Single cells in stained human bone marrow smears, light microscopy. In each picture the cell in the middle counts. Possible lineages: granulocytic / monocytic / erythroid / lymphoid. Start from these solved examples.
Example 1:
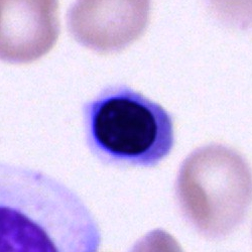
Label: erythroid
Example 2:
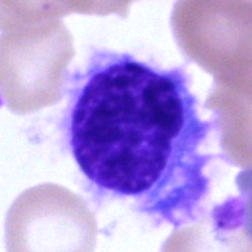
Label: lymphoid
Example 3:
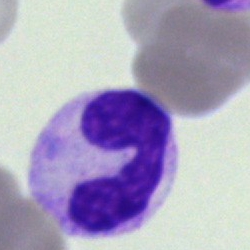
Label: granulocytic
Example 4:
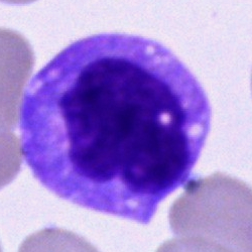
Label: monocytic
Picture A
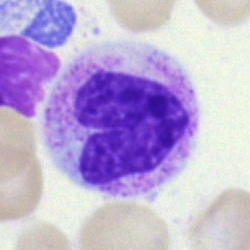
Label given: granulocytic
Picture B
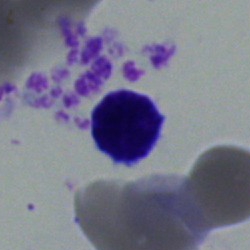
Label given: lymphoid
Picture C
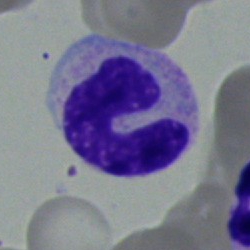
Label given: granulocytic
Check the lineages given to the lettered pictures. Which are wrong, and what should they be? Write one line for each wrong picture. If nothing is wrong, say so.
All correct.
